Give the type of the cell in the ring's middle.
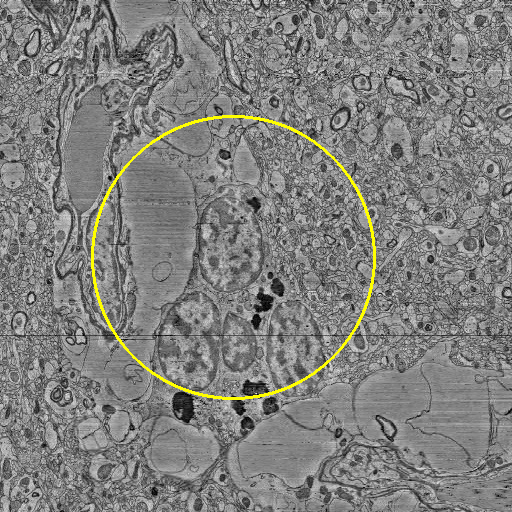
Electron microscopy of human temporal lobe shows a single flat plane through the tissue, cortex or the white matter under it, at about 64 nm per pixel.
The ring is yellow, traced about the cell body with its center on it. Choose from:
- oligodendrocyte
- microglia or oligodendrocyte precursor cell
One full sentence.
Here, an oligodendrocyte is the cell lying at the center of the yellow ring.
